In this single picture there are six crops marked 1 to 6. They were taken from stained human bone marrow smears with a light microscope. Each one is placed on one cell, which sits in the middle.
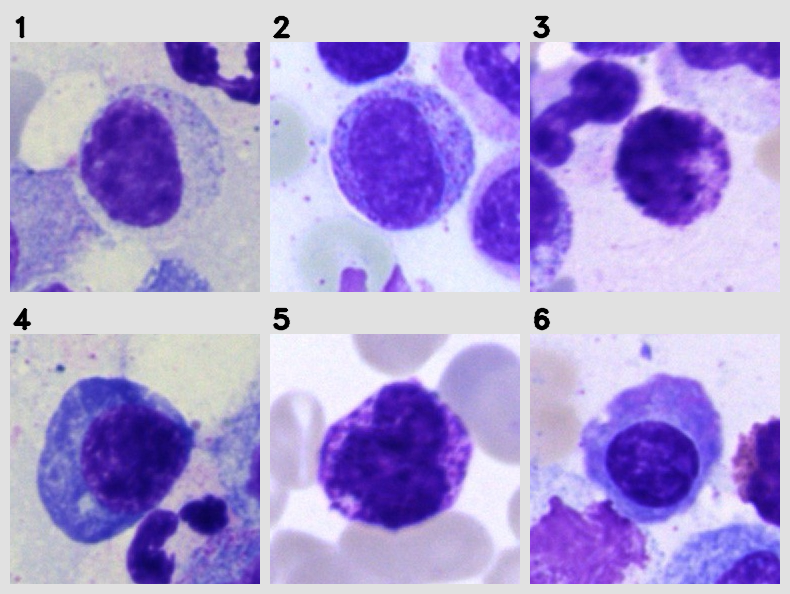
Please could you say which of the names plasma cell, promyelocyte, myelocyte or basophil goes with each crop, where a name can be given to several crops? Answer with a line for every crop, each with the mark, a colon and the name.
1: myelocyte
2: myelocyte
3: basophil
4: plasma cell
5: basophil
6: plasma cell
